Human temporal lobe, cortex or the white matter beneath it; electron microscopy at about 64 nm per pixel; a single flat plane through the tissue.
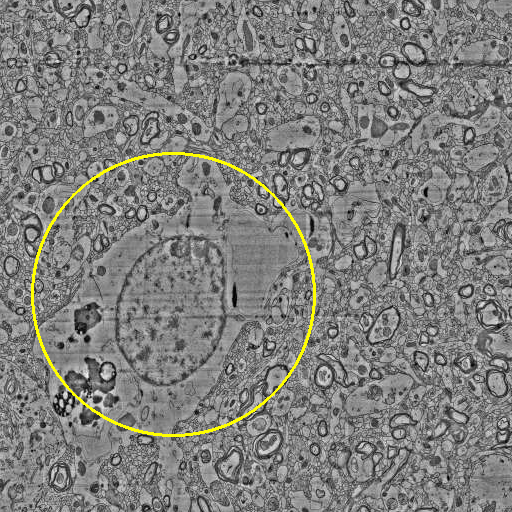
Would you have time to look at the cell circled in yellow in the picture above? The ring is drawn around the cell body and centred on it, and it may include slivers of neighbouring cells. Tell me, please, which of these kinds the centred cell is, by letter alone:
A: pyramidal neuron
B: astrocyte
B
